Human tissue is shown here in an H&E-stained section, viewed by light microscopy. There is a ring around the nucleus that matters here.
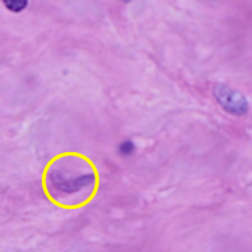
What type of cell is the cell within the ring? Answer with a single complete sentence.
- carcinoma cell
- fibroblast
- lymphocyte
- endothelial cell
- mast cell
By cell type, the cell within the ring is a fibroblast.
